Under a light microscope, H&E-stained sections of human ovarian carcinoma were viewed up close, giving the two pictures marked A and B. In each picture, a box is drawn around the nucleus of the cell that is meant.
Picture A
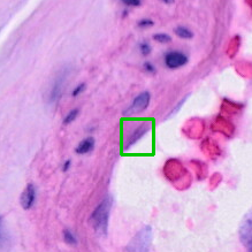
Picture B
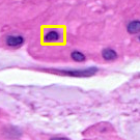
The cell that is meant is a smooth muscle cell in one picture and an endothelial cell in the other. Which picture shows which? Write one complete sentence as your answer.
It is picture A that shows an endothelial cell, and picture B that shows a smooth muscle cell.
